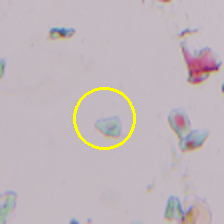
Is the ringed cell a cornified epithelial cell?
Yes, it is a cornified epithelial cell.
